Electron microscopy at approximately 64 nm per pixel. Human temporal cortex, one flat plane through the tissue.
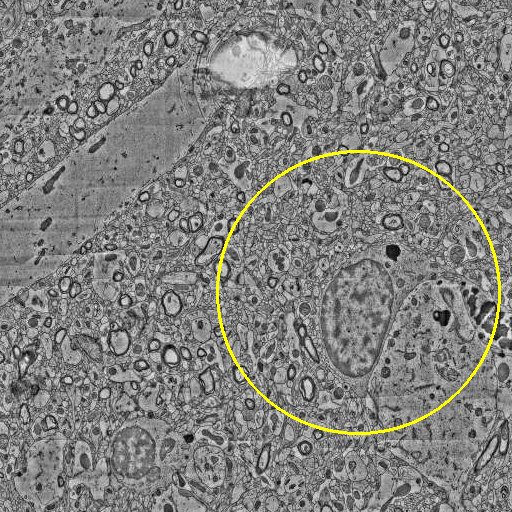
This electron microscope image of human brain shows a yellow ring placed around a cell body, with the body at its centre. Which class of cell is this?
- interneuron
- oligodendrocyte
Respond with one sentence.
The cell body at the ring's centre is an oligodendrocyte.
